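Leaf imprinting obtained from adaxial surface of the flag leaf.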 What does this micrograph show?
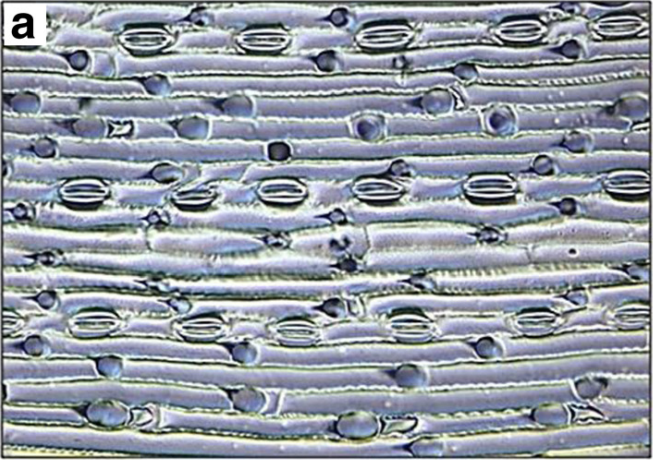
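Stomata in a row are spaced at fairly even intervals. Between and beside the stomatal rows are many small rounded outgrowths, some with a short pointed tip, scattered along the cell files. The cells are arranged strictly parallel to the long axis of the leaf, giving a striped pattern across the whole field.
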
